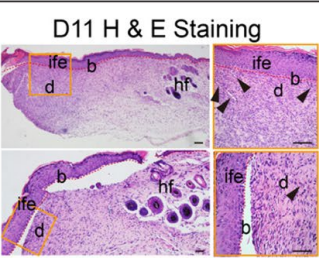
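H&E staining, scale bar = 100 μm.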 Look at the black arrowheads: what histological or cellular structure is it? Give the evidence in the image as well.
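The arrowheads point to small structures within the cell-dense tissue beneath the epithelium. The marked structures are small and scattered in the pink-purple dermis. So: blood capillaries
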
